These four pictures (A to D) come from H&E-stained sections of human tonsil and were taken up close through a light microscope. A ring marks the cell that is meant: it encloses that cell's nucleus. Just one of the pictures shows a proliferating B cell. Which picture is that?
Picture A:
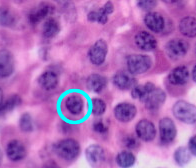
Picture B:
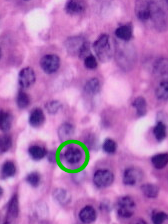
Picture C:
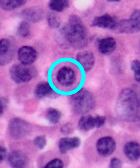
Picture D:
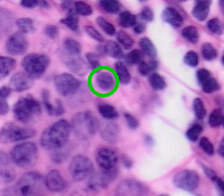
D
